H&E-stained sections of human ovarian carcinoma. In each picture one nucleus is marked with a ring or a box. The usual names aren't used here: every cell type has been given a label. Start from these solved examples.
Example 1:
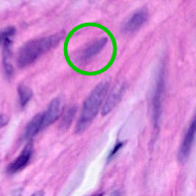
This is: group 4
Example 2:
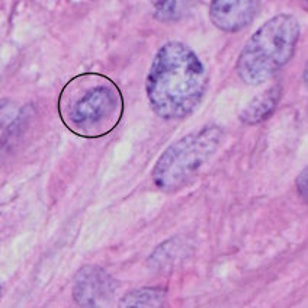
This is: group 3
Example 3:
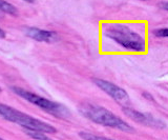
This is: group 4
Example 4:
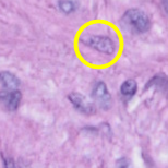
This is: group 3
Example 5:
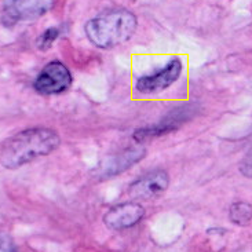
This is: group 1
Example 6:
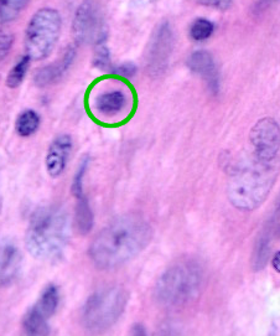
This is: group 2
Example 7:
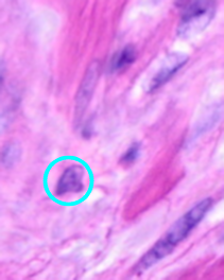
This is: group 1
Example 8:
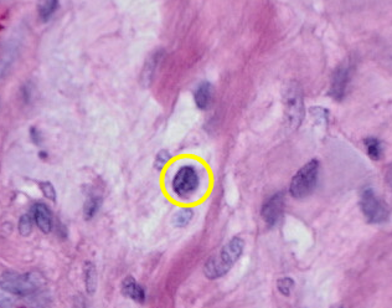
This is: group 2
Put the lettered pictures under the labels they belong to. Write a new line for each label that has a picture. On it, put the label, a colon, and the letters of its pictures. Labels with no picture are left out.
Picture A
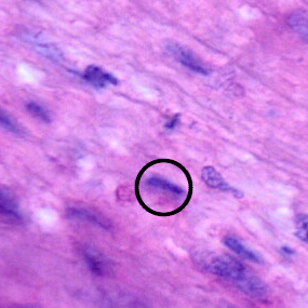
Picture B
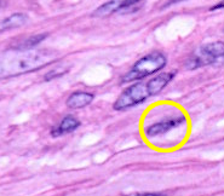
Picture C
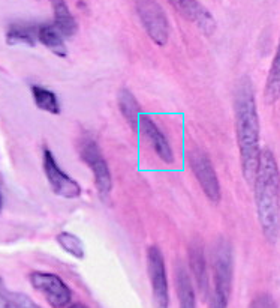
group 4: C
group 3: B
group 1: A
